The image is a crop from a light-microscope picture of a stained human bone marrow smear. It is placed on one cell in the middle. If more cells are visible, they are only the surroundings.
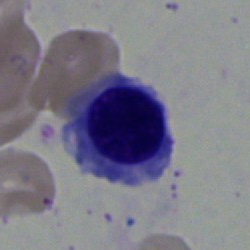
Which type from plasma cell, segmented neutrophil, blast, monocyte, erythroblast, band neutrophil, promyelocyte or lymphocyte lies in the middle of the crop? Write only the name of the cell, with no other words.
erythroblast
